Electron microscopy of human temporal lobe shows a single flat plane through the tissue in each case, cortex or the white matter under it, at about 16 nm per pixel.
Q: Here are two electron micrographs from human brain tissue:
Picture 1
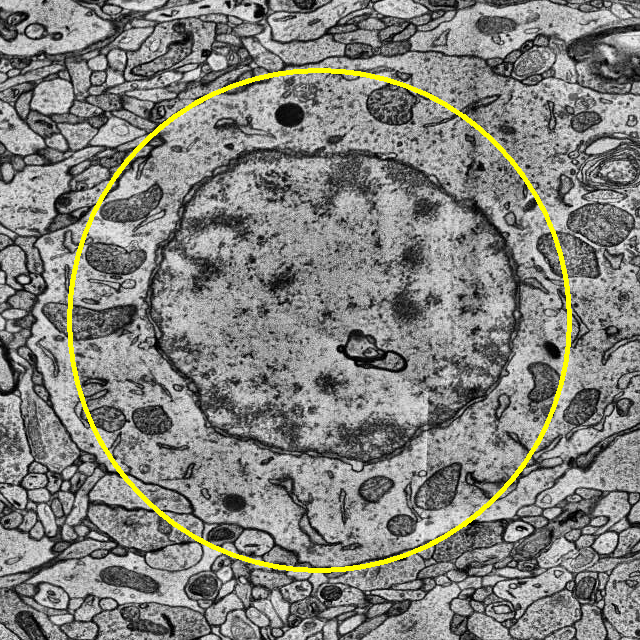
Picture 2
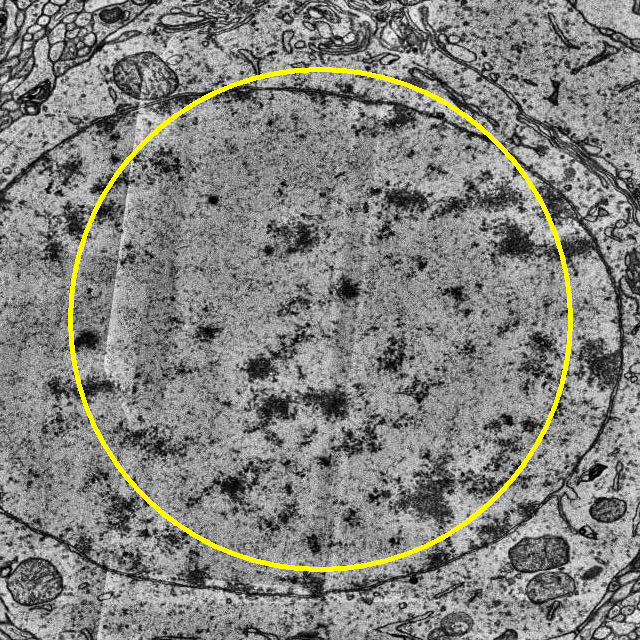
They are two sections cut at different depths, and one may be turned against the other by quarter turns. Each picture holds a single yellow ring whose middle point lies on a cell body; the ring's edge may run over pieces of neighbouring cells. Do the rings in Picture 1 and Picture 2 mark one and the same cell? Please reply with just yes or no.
yes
